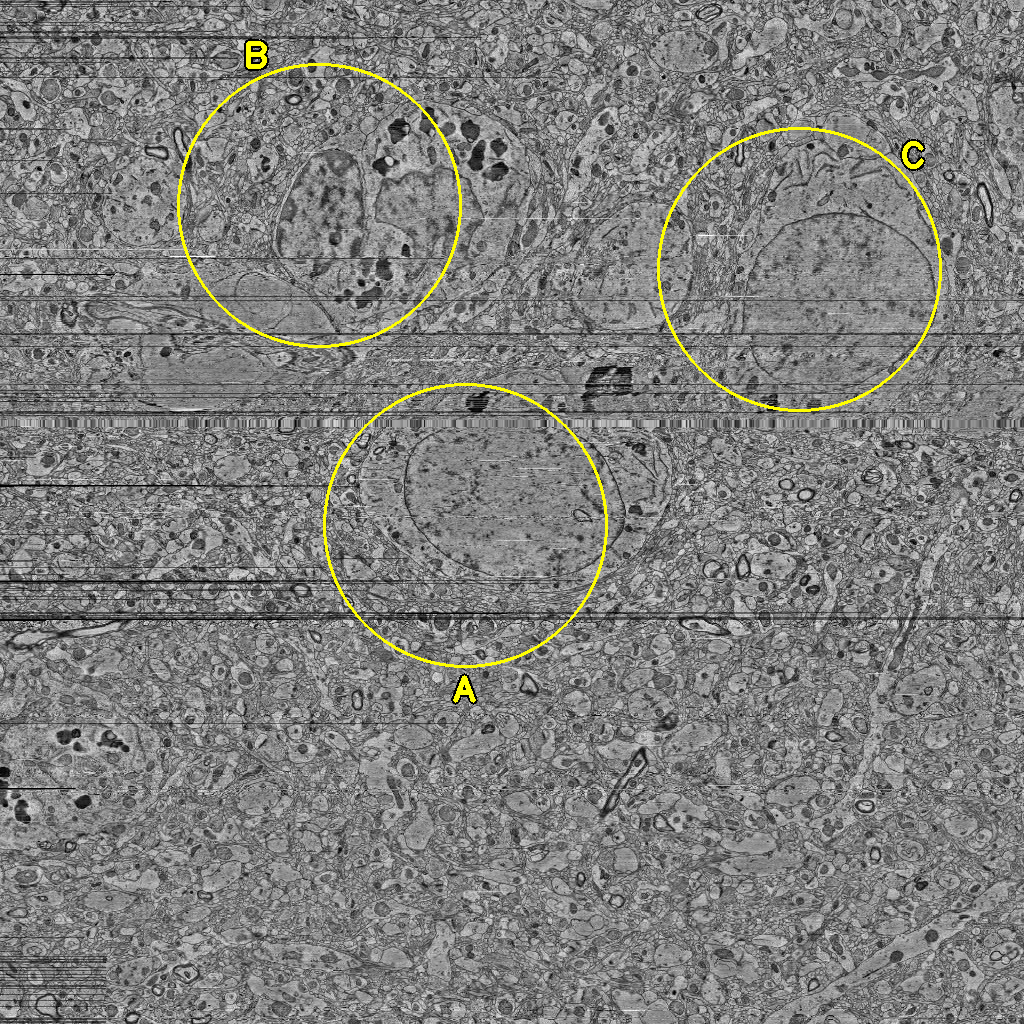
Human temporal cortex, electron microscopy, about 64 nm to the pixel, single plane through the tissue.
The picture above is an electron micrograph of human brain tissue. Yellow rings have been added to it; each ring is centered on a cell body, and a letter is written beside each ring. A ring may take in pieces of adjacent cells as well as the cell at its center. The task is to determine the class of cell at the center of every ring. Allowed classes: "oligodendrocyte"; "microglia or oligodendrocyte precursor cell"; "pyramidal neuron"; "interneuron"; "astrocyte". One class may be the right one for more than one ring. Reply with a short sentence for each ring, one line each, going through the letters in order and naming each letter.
Ring A is centered on a pyramidal neuron.
Ring B is centered on a microglial cell or oligodendrocyte precursor cell.
Ring C is centered on a pyramidal neuron.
